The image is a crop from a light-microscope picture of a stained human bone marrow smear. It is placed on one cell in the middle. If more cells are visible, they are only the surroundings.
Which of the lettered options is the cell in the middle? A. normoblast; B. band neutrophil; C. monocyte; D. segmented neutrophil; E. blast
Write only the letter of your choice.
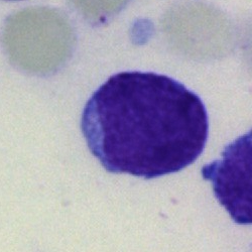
E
